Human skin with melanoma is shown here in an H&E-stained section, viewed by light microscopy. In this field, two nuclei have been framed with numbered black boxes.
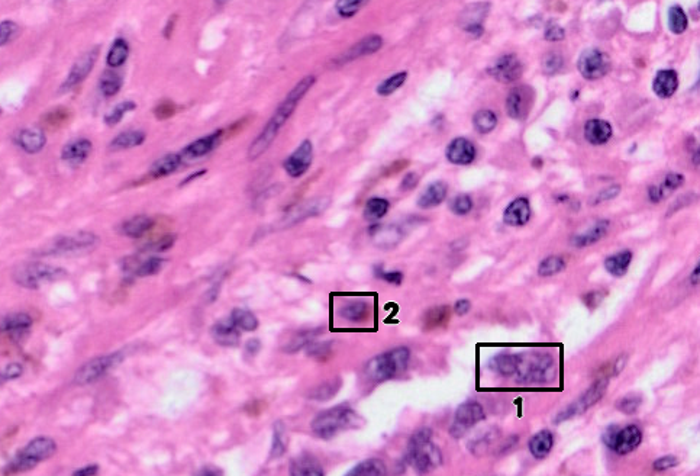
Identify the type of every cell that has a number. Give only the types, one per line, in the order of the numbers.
melanoma cell
macrophage or monocyte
